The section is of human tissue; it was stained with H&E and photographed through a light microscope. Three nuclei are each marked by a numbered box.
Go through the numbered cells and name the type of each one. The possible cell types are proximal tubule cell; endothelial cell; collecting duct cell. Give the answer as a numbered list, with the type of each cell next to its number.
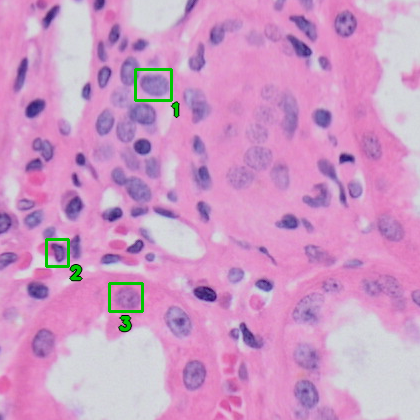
1. collecting duct cell
2. endothelial cell
3. proximal tubule cell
